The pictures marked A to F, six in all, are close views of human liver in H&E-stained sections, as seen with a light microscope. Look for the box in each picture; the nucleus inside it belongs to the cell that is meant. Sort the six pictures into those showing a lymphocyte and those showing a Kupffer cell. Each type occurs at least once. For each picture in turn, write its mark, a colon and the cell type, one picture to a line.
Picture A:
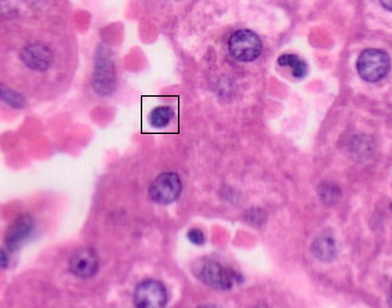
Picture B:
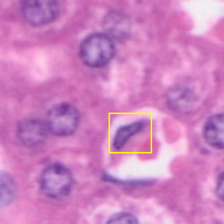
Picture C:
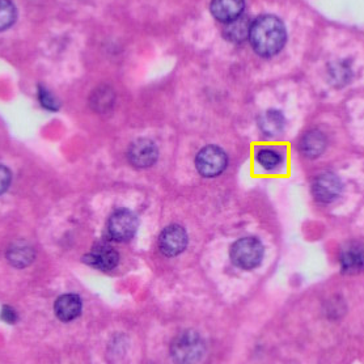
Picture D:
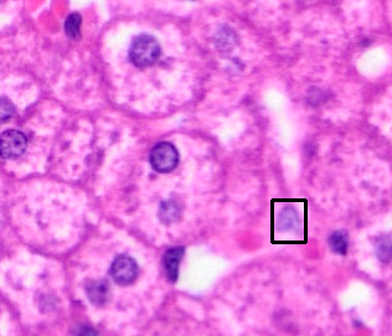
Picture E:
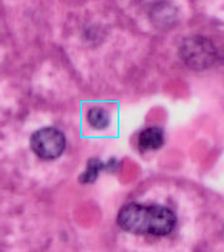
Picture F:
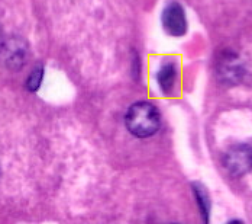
A: lymphocyte
B: Kupffer cell
C: Kupffer cell
D: Kupffer cell
E: lymphocyte
F: Kupffer cell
